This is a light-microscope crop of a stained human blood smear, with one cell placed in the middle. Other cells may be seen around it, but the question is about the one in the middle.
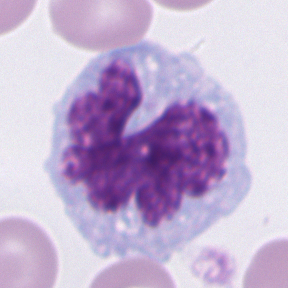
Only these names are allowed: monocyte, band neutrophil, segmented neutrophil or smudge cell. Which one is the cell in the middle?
monocyte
